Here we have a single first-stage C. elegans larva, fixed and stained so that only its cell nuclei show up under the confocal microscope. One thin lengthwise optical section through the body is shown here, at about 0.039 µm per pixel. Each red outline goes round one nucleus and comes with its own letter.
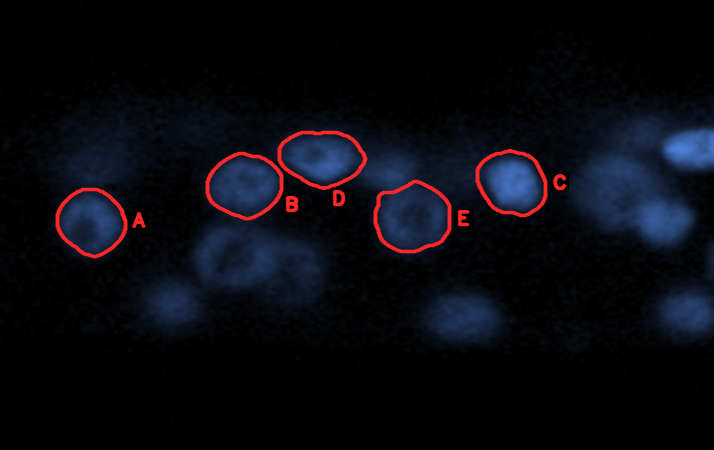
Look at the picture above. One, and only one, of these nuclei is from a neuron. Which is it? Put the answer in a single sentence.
Of the marked nuclei, C is the one in a neuron.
